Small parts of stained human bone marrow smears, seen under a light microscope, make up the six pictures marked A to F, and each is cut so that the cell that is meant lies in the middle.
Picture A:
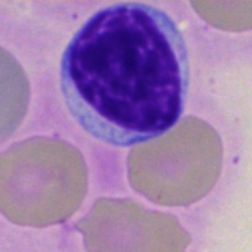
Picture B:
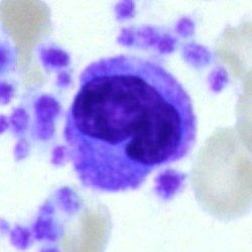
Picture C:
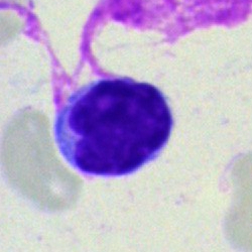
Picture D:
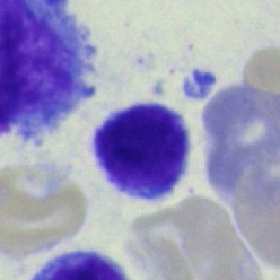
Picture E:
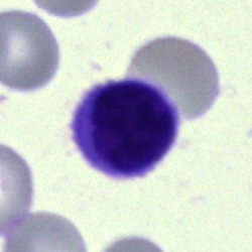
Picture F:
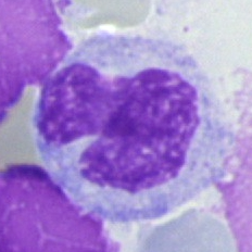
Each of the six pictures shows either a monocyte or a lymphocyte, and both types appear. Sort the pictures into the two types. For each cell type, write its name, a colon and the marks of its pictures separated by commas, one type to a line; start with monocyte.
monocyte: B, F
lymphocyte: A, C, D, E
